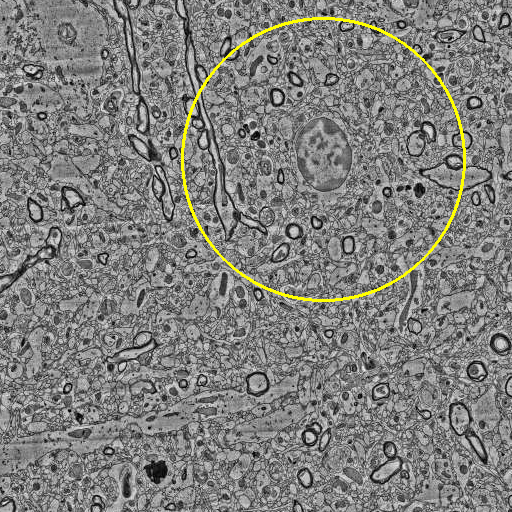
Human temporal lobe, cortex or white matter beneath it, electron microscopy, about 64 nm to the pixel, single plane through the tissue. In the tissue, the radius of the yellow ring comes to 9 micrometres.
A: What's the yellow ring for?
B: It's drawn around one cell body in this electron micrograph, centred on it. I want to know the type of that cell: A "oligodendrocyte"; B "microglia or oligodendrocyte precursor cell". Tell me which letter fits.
B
